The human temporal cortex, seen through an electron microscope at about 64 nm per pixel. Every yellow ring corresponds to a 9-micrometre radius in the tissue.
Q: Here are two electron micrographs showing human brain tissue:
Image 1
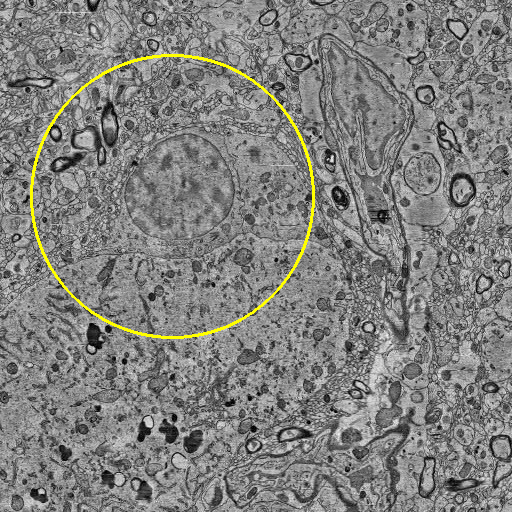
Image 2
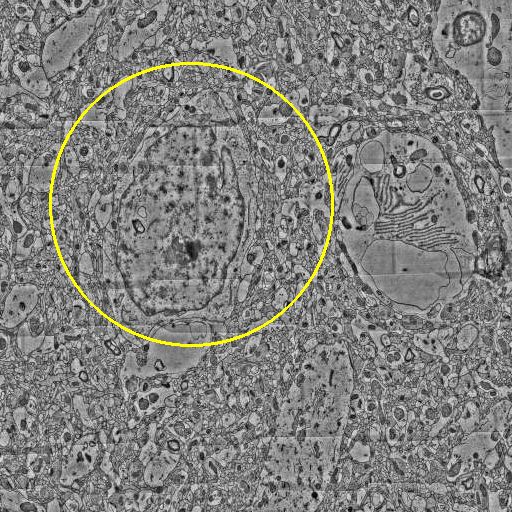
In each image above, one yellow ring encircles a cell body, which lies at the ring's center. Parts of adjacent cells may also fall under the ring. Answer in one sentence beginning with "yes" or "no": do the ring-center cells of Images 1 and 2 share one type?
No, in Images 1 and 2, the ring-center cells are of two types.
